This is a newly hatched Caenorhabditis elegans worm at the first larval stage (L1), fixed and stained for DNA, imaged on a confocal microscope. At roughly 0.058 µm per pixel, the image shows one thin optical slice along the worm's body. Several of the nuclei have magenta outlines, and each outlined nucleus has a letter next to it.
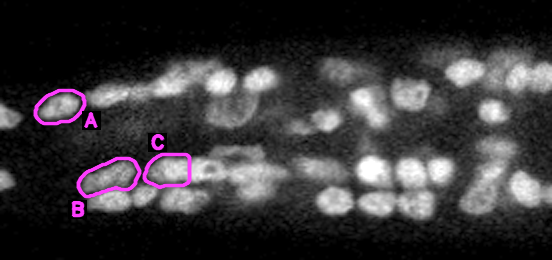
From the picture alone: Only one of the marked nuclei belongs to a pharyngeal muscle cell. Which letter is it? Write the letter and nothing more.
C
